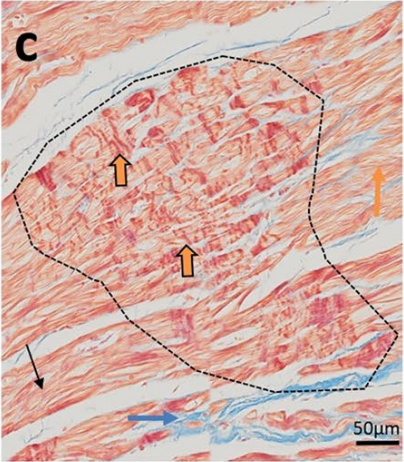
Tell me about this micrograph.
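Heart muscle cells cut lengthwise, stained orange-red, run in bundles separated by thin blue strands of connective tissue. In one outlined region the fibres are crossed by irregular, dense dark red bands and look clumped and broken up, unlike the evenly and finely striated fibres around them. This is severe contraction banding of the cardiomyocytes.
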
